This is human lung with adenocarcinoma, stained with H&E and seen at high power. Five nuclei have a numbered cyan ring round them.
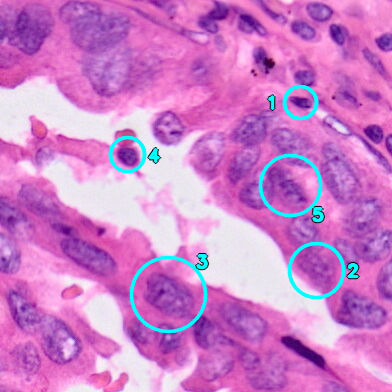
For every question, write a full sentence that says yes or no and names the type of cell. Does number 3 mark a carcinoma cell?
Yes, the nucleus numbered 3 belongs to a carcinoma cell.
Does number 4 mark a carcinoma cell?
No, cell 4 has been misnamed; it is a lymphocyte, not a carcinoma cell.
